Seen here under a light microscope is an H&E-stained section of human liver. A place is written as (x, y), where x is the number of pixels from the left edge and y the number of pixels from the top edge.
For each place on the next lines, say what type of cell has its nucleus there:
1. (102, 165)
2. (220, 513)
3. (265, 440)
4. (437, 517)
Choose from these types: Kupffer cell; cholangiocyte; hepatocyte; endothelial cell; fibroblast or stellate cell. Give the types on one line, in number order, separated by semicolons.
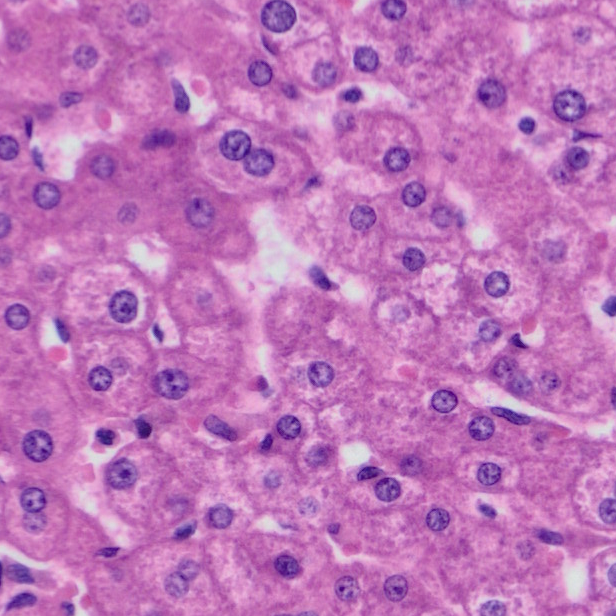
hepatocyte; hepatocyte; fibroblast or stellate cell; hepatocyte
